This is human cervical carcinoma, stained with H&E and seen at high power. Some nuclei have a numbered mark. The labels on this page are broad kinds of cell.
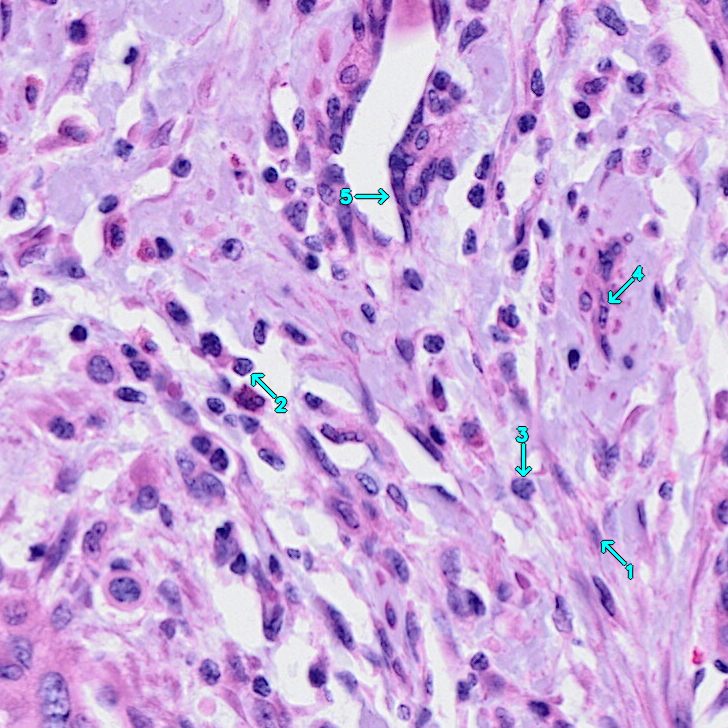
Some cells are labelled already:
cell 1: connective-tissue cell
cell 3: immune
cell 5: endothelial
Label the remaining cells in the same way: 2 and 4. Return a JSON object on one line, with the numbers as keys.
{"2": "immune", "4": "endothelial"}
